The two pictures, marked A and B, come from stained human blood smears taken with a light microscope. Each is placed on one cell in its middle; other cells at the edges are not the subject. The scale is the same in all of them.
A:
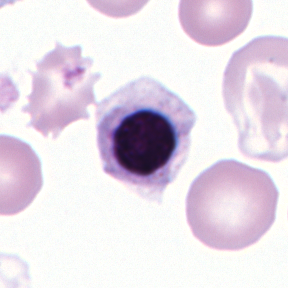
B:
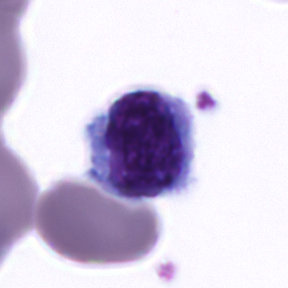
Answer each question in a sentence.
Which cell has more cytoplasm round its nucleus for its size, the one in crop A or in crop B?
The nucleus fills less of the cell in crop A than in crop B.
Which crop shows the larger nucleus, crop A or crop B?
Crop B shows the larger nucleus; it covers about 2 times the area of the nucleus in crop A.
